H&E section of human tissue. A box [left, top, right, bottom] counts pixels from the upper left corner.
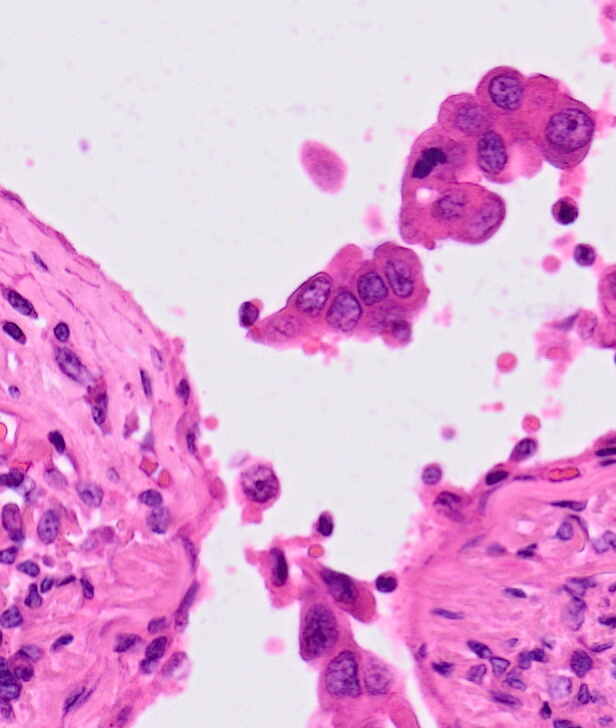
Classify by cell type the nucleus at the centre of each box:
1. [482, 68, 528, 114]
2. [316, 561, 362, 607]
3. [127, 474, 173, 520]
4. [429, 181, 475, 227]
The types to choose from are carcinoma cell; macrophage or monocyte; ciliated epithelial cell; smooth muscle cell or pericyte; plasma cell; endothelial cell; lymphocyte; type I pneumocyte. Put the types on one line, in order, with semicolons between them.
carcinoma cell; carcinoma cell; lymphocyte; carcinoma cell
